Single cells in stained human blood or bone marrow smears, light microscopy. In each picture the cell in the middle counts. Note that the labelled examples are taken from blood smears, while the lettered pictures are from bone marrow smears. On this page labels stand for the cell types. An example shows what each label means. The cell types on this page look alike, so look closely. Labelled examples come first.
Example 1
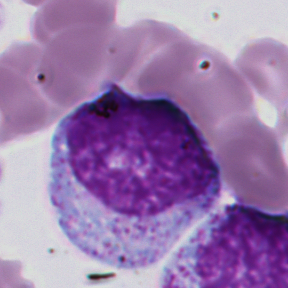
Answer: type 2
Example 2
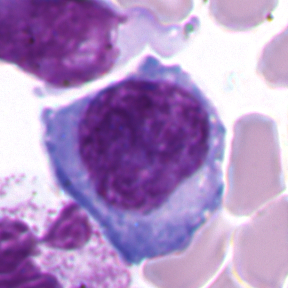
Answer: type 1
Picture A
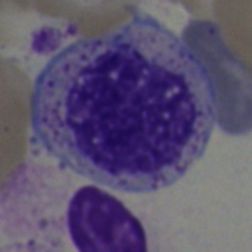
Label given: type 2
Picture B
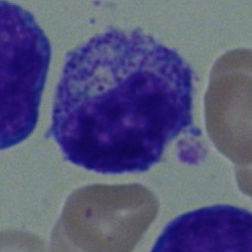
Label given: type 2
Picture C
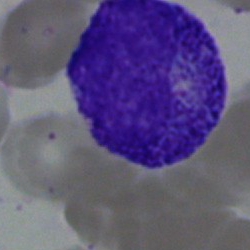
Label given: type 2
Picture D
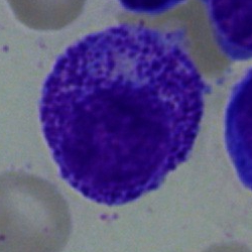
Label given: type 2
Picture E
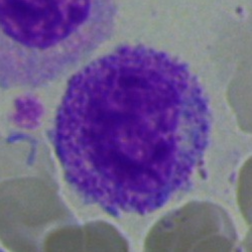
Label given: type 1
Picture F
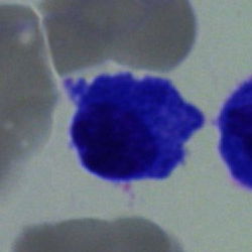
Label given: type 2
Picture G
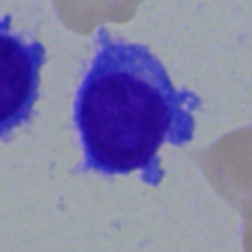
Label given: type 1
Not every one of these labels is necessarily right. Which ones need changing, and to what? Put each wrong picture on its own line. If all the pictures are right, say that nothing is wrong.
E: change type 1 to type 2
F: change type 2 to type 1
